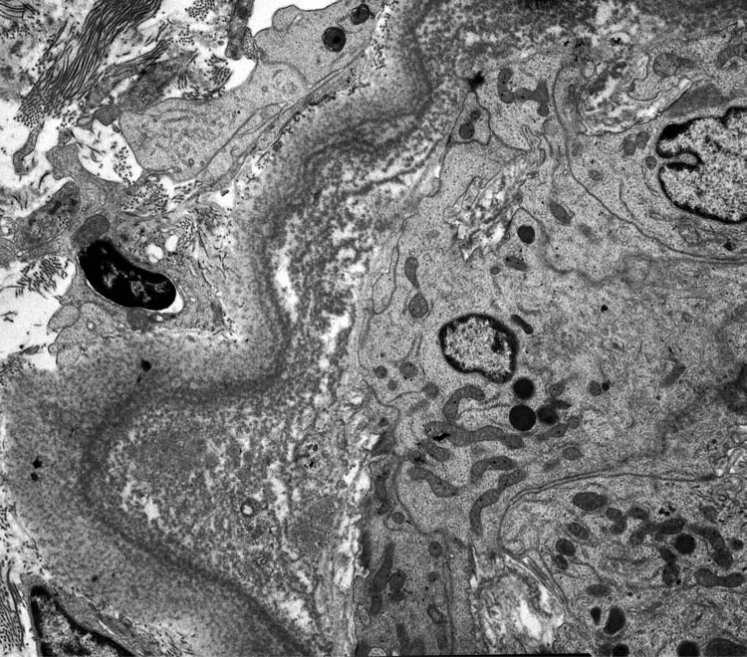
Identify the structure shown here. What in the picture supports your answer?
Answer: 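A thick, undulating extracellular band lies beneath epithelial cells rich in mitochondria. On the other side of the band lies interstitium with bundles of cross-banded collagen fibrils. On this evidence: tubular basement membrane.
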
